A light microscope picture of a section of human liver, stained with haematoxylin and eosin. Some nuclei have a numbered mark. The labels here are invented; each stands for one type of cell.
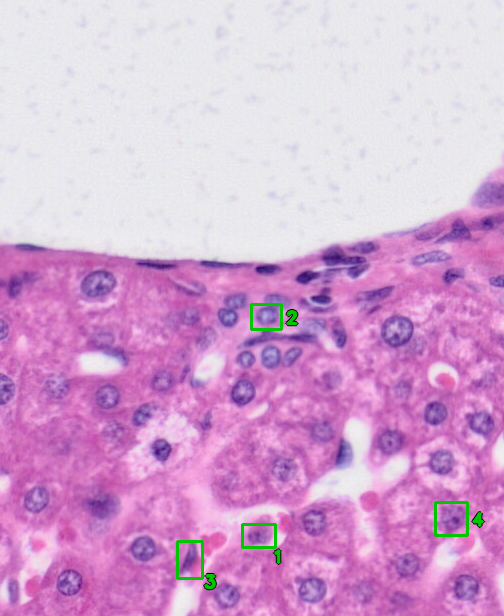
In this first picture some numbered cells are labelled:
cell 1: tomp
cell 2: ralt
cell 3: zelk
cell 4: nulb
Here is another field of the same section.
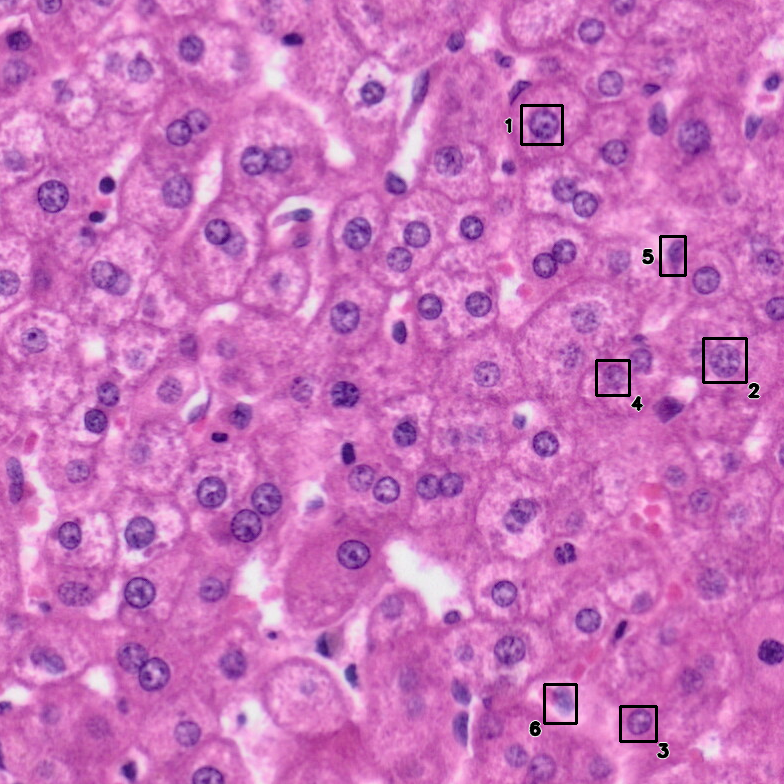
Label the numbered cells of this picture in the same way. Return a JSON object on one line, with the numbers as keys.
{"1": "nulb", "2": "nulb", "3": "nulb", "4": "nulb", "5": "tomp", "6": "zelk"}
